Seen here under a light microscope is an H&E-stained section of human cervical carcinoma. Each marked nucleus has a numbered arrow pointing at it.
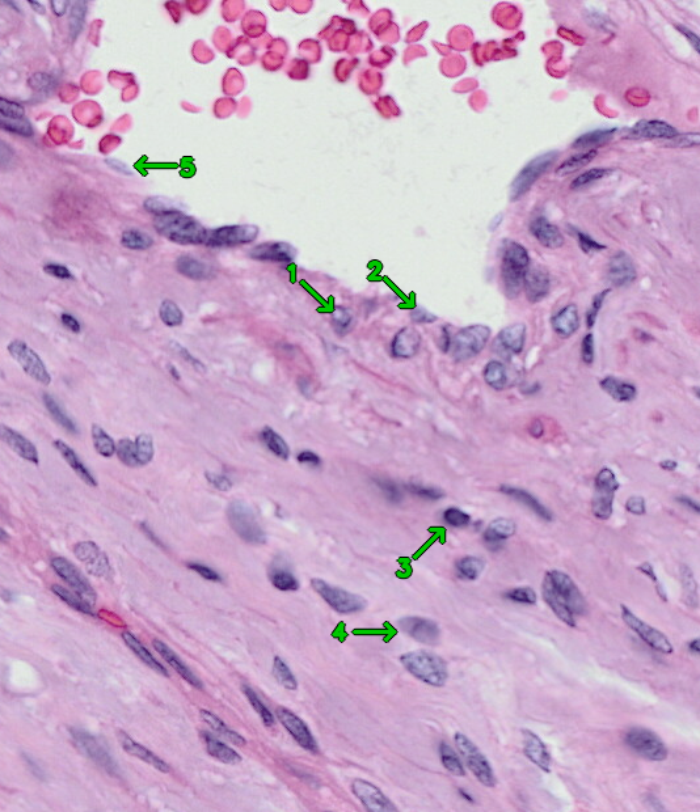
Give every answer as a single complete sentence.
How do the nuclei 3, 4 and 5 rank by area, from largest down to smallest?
Going from the biggest nucleus down to the smallest gives 4, 3, 5.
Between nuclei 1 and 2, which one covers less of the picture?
Number 2 is smaller, since number 1 takes up about 1.5 times as much area.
